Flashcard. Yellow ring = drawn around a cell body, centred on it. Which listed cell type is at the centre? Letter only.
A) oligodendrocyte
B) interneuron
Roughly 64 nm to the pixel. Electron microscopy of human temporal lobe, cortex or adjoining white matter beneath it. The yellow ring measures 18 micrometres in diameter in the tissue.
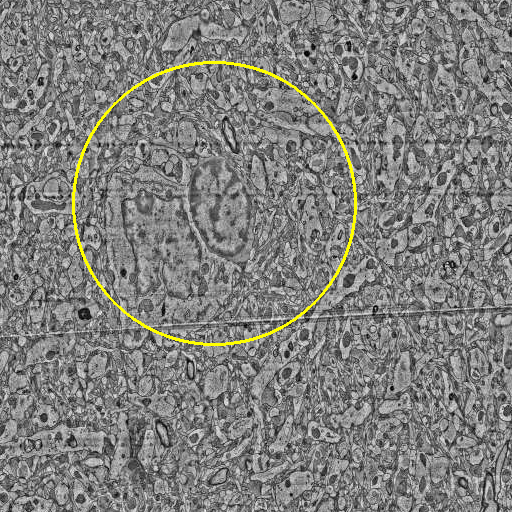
A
